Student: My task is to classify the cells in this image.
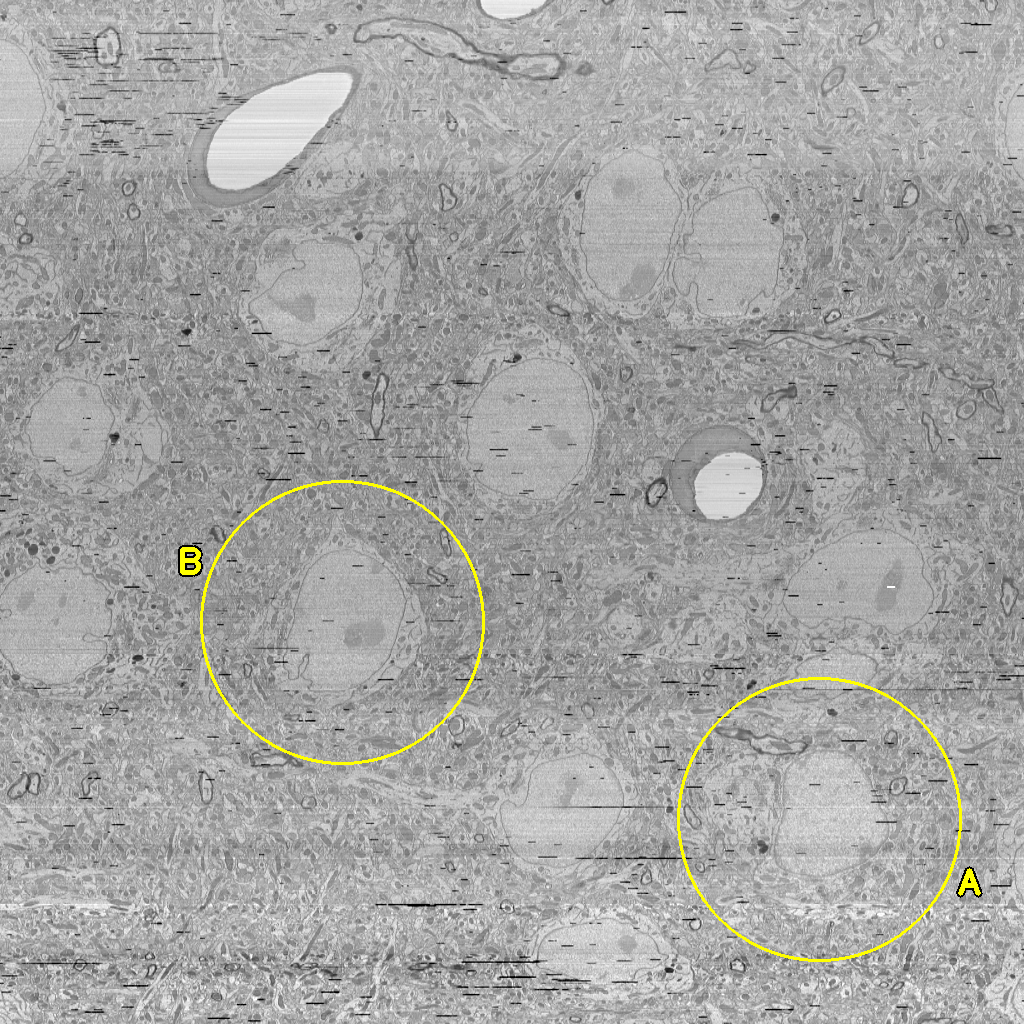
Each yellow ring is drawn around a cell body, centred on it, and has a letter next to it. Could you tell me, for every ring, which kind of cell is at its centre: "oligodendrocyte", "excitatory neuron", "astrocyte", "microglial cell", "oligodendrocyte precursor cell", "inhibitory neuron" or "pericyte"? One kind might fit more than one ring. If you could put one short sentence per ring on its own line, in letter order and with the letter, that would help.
Ring A's central cell is an astrocyte.
Ring B's central cell is an excitatory neuron.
